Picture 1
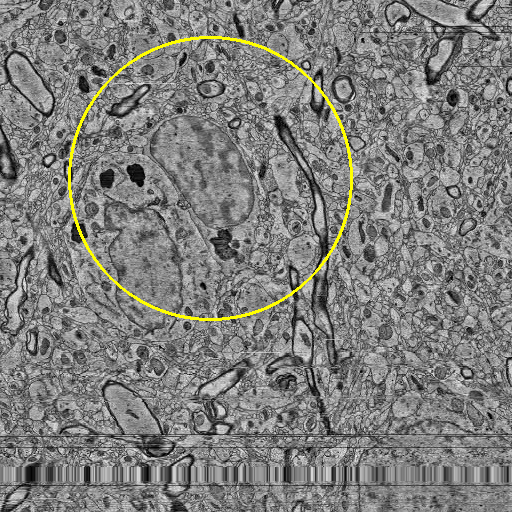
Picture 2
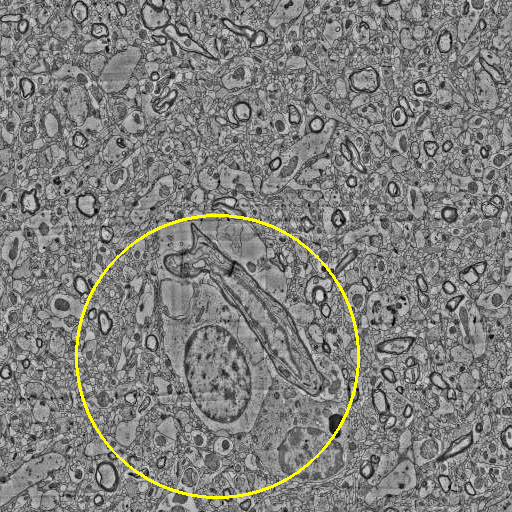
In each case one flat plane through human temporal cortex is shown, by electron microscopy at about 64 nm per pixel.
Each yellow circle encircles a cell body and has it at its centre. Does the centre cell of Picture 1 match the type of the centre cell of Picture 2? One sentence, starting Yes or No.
No, the cell centred in Picture 1 and the one in Picture 2 have separate types.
